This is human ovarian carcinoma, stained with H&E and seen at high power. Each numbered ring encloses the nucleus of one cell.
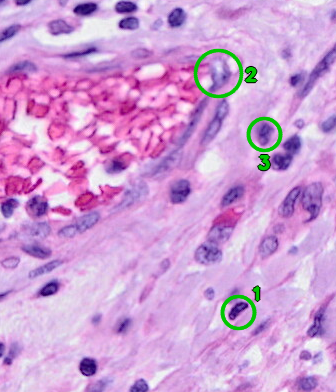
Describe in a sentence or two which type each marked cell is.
Cells 1 and 3 are lymphocytes. Cell 2 is an endothelial cell.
